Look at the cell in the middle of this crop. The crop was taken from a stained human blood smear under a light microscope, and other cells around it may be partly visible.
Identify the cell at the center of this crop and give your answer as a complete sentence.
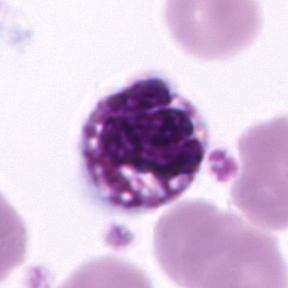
Seen at the centre of the crop is an eosinophil.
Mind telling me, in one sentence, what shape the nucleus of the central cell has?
Its nucleus is lobed, with at least two separate segments.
